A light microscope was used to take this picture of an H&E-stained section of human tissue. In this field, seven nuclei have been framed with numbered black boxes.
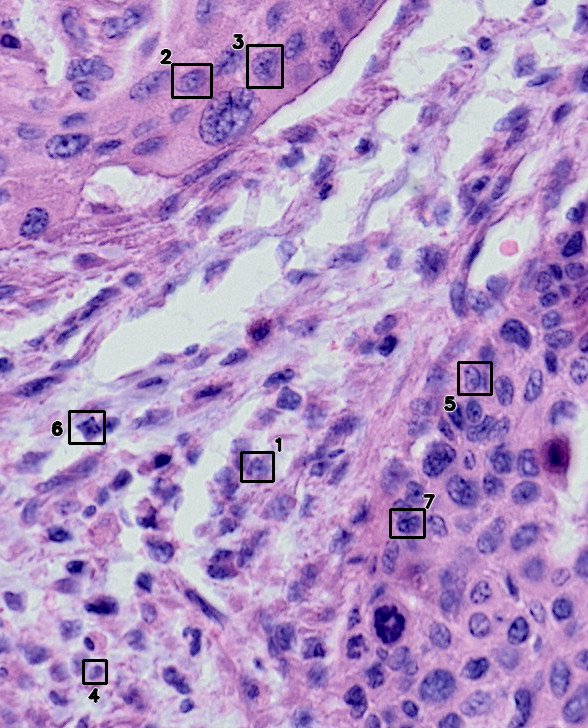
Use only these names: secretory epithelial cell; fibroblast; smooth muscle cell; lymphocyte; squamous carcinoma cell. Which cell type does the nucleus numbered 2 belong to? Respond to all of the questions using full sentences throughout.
The marked cell with the number 2 is recognised as a squamous carcinoma cell.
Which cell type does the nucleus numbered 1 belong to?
Number 1 is placed on a fibroblast here.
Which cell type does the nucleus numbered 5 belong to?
To a squamous carcinoma cell belongs the nucleus marked 5.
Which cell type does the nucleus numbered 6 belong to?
The mark numbered 6 indicates the nucleus of a lymphocyte.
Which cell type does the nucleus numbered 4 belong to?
That cell with number 4 is a fibroblast.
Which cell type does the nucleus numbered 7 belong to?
The nucleus with number 7 is that of a squamous carcinoma cell.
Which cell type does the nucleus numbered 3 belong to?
To a squamous carcinoma cell belongs the nucleus marked 3.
